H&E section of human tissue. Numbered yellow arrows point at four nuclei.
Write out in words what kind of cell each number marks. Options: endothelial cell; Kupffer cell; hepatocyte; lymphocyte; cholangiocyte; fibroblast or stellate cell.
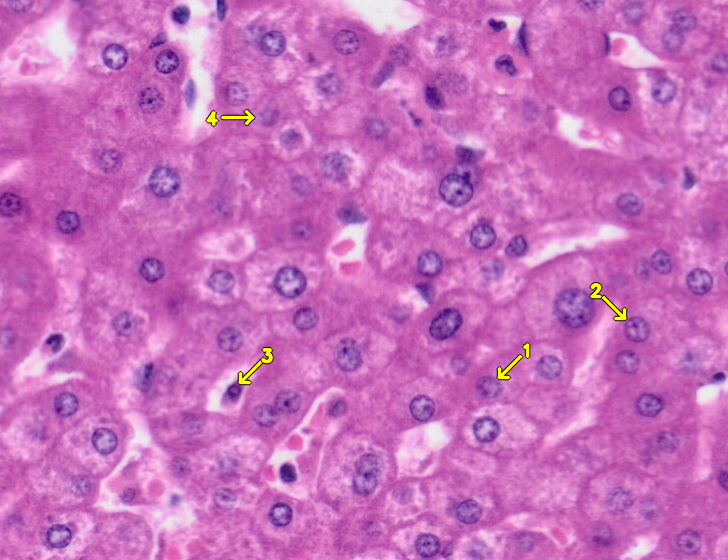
Cells 1, 2 and 4 are hepatocytes. Cell 3 is a Kupffer cell.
